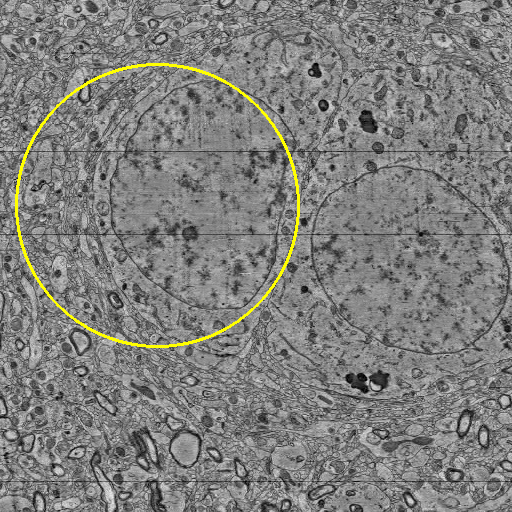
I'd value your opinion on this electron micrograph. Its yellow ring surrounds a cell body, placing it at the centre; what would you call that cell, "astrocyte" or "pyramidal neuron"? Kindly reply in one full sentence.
It is a pyramidal neuron that sits centred within the yellow ring in this micrograph.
